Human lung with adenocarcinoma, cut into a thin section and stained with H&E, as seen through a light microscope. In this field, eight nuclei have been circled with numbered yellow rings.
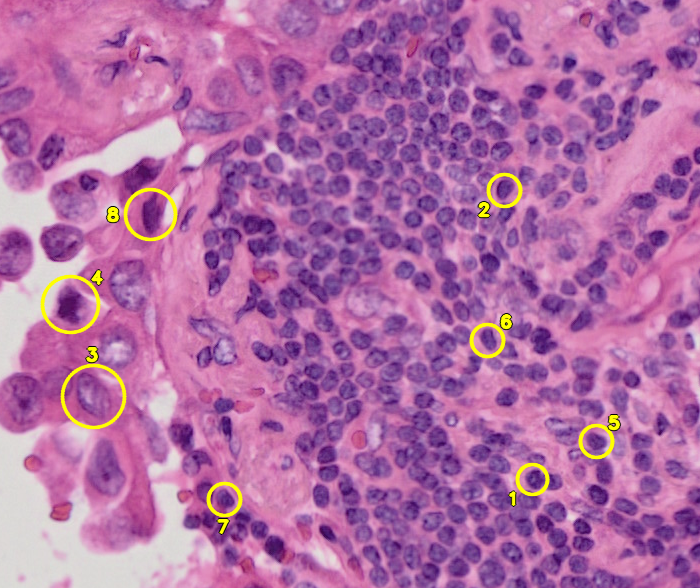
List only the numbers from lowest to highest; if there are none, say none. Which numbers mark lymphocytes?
1, 2, 5, 6, 7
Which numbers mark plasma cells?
none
